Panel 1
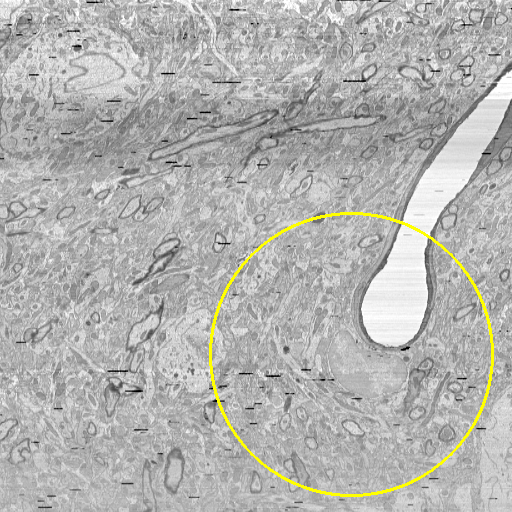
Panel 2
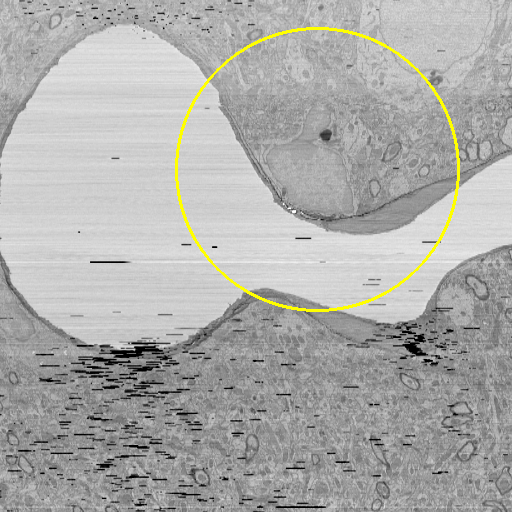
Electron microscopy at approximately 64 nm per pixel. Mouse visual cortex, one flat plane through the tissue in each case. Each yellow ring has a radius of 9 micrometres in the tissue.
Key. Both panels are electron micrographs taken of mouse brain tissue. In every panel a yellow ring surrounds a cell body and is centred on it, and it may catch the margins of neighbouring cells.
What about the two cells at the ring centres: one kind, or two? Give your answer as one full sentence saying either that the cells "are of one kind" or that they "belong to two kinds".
Across Panels 1 and 2, the two cells at the ring centres are of one kind.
